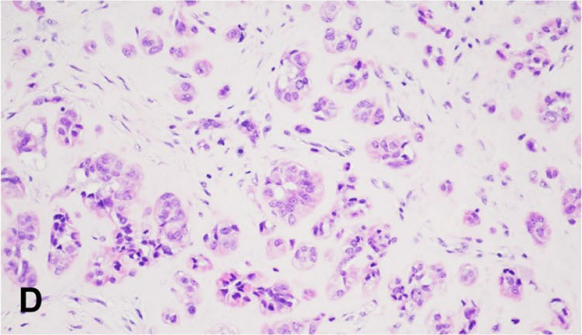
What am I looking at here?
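Clusters of epithelioid tumor cells lie scattered in a pale, loose fibromyxoid background. The tumor cells are plump with pink to lightly vacuolated cytoplasm and enlarged vesicular nuclei, some with nucleoli. Some clusters form small rounded groups with central clear spaces. Thin spindle cells with slender nuclei are scattered through the pale stroma between the clusters.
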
